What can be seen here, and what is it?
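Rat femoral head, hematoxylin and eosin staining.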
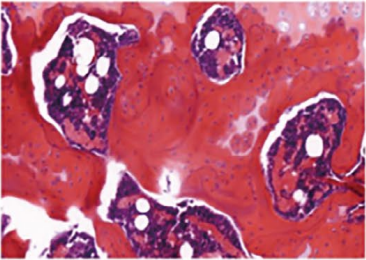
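Irregular pink-red bone forms the framework, containing many small osteocytes with dark nuclei in lacunae. The marrow spaces between the trabeculae are filled with densely packed cells with purple nuclei, interspersed with round clear spaces resembling fat cells. The trabecular bone appears continuous and orderly, and the marrow is richly cellular.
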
